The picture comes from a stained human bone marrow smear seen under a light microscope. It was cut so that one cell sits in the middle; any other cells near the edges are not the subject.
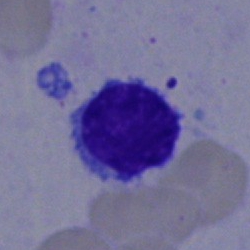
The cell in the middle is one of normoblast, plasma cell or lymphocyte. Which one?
lymphocyte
